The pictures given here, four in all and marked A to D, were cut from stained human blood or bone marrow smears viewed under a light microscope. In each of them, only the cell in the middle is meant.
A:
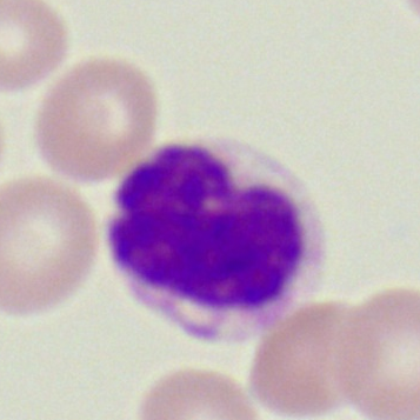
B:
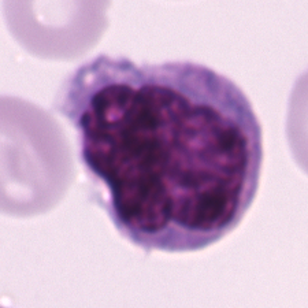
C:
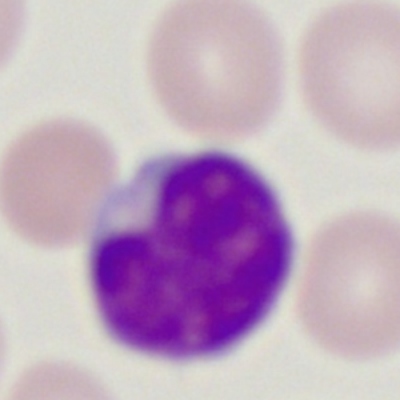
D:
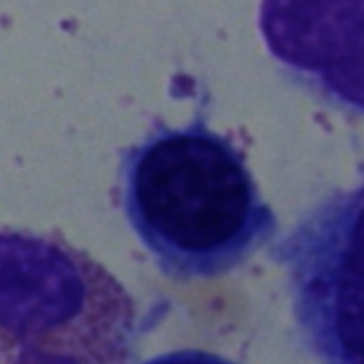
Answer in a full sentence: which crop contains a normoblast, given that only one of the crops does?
Crop D is the right one; it is the crop showing a normoblast.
